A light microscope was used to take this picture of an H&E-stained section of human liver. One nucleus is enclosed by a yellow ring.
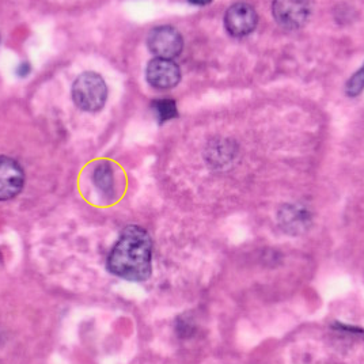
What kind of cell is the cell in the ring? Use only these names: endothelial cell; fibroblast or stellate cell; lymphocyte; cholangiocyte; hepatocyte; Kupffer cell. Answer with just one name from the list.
Kupffer cell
